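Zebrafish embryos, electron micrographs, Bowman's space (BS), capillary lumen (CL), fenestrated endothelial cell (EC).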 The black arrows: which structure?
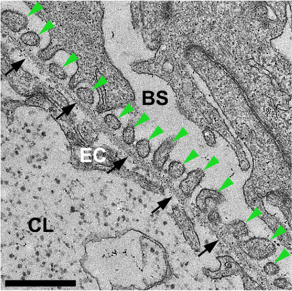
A: Glomerular basement membrane.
